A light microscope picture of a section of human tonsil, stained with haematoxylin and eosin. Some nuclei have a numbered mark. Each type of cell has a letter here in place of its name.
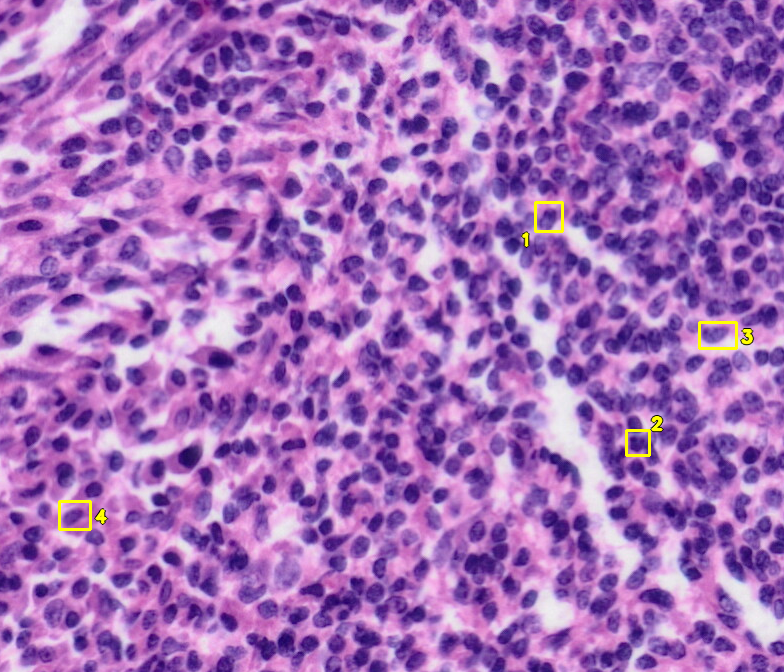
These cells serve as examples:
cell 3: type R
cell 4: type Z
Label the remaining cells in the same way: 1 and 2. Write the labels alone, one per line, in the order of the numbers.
type R
type R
